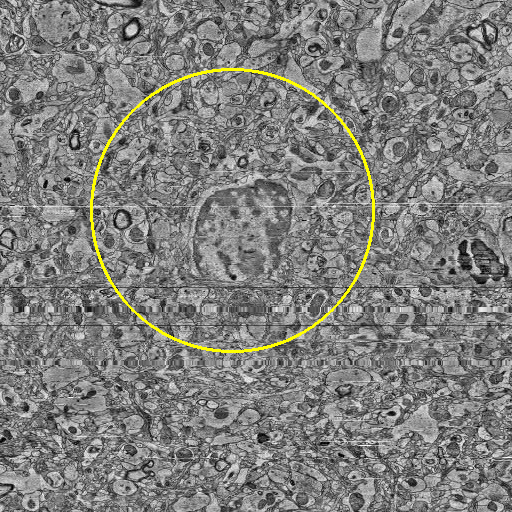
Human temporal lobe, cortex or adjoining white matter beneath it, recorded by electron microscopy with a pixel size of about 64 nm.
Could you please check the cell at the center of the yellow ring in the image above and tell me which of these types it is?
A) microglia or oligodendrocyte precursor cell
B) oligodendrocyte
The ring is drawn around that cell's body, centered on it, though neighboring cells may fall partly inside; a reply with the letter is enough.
A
